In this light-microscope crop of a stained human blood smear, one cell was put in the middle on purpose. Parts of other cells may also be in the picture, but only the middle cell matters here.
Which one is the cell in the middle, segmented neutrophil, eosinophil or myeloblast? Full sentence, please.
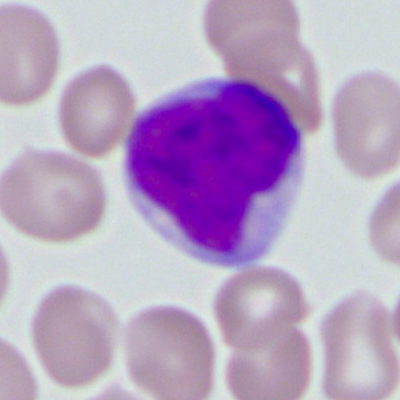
The crop shows a myeloblast in its centre.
